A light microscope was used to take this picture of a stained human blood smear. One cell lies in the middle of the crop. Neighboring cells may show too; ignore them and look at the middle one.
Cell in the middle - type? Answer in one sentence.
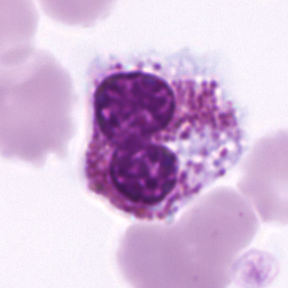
The cell the crop is centered on is an eosinophil.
